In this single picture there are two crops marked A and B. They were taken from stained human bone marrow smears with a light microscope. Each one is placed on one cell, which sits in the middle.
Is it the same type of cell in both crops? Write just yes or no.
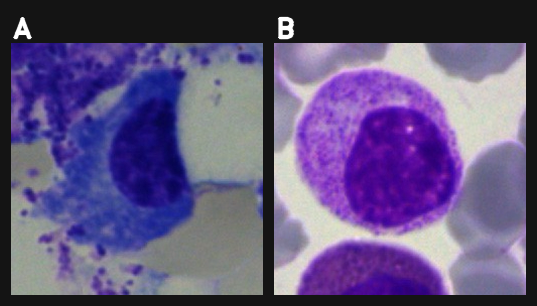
no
